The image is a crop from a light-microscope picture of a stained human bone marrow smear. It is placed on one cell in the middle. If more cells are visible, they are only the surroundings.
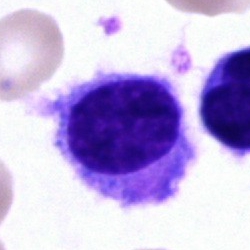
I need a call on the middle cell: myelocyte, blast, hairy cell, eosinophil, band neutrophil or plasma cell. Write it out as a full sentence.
Centred in the crop is a hairy cell.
